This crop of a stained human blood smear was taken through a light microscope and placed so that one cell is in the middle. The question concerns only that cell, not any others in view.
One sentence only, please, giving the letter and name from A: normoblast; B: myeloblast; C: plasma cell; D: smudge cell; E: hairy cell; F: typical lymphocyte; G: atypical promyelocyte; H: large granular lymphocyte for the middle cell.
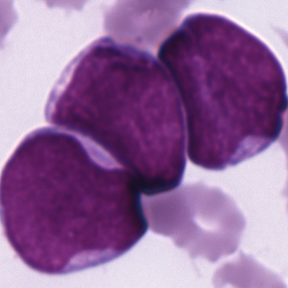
Identified correctly by option B, the cell in the middle is a myeloblast.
